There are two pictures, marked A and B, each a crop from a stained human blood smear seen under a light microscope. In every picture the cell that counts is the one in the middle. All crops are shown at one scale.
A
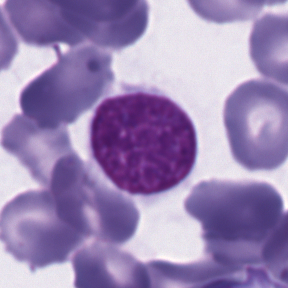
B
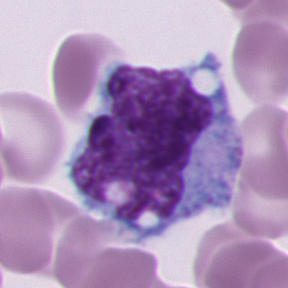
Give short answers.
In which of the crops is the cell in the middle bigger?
B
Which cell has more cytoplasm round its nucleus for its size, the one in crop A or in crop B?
B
